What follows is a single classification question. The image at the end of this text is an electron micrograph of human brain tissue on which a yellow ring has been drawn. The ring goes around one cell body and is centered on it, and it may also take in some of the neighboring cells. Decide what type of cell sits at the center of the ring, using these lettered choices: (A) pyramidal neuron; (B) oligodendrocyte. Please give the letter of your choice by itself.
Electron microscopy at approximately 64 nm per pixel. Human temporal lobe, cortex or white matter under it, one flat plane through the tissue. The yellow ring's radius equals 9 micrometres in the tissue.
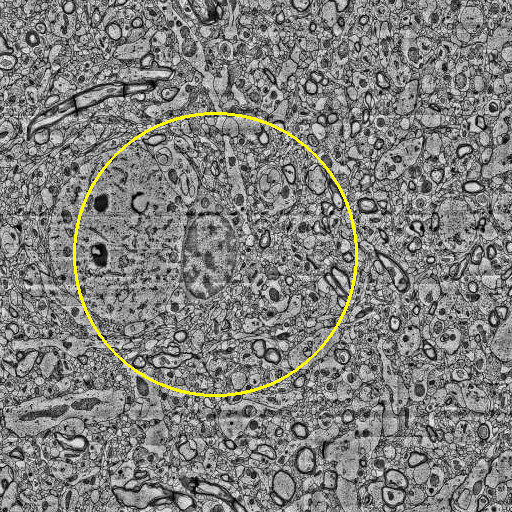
B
